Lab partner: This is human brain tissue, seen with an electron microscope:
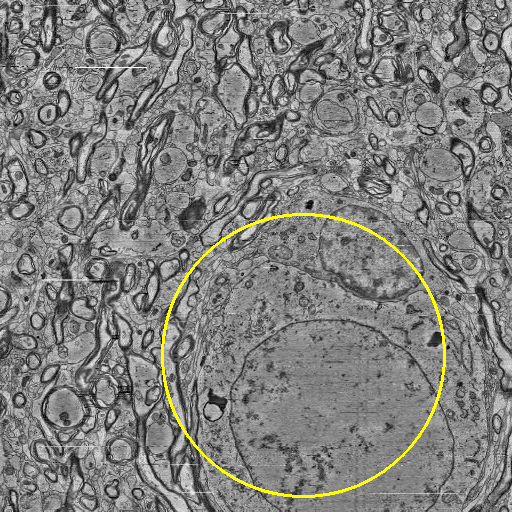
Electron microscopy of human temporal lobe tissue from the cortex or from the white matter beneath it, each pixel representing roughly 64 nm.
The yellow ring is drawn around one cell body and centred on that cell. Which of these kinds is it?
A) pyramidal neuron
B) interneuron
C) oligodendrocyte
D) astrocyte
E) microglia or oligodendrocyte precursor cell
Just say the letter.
A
